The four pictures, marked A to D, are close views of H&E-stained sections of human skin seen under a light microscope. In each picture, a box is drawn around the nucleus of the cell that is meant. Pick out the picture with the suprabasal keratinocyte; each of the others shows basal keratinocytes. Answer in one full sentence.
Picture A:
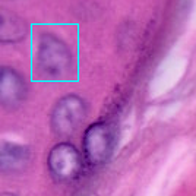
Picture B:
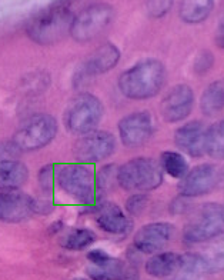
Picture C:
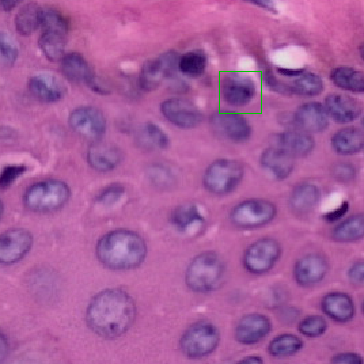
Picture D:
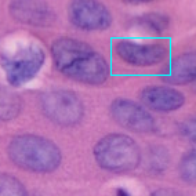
It is picture A that shows the suprabasal keratinocyte.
